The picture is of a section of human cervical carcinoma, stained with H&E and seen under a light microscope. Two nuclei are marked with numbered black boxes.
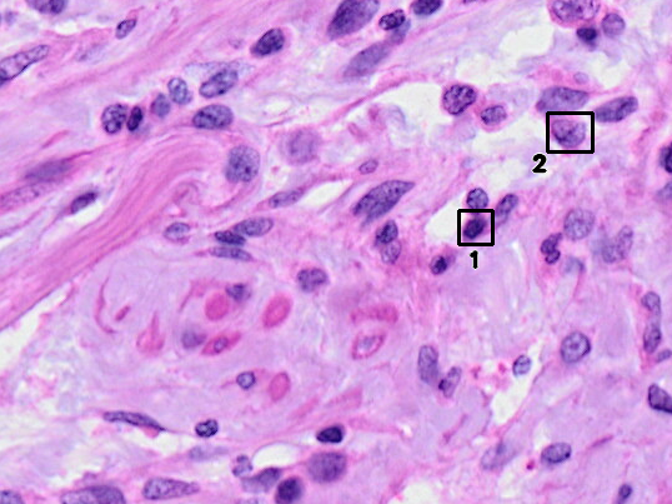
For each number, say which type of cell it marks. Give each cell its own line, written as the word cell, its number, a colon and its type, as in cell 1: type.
cell 1: lymphocyte
cell 2: macrophage or monocyte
